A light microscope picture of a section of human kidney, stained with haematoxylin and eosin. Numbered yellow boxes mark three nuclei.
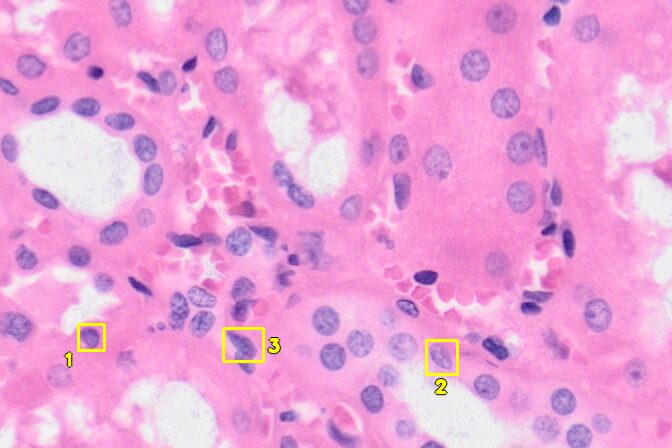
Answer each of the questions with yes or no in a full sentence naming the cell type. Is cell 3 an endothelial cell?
Yes, it is an endothelial cell that number 3 identifies.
